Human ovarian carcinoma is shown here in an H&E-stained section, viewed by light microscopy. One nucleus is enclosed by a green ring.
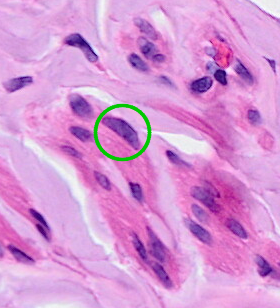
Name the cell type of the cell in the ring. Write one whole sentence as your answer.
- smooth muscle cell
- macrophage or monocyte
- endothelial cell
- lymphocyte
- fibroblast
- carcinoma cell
The cell in the ring appears to be a smooth muscle cell.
